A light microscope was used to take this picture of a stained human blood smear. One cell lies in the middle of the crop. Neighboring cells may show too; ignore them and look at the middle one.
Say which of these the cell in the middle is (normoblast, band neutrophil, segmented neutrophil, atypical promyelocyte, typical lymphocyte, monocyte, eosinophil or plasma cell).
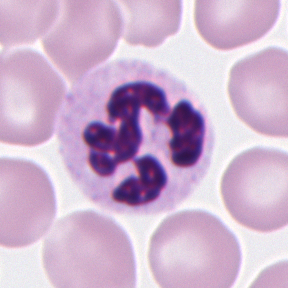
segmented neutrophil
